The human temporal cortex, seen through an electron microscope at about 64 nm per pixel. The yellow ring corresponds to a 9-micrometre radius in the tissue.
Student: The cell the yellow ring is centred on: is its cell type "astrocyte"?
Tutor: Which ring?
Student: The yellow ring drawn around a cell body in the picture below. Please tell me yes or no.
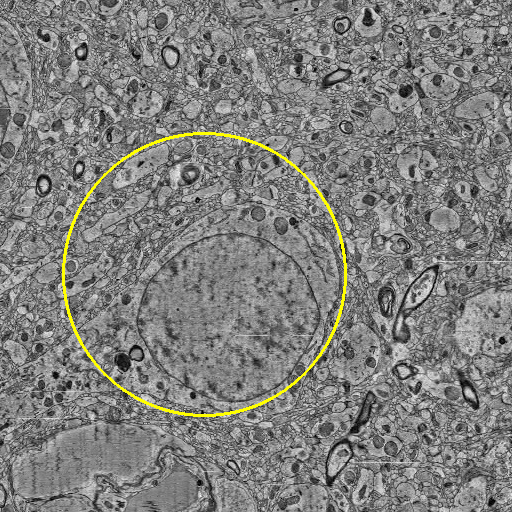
no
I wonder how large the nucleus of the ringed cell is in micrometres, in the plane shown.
The nucleus is about 11 micrometres across in this plane.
